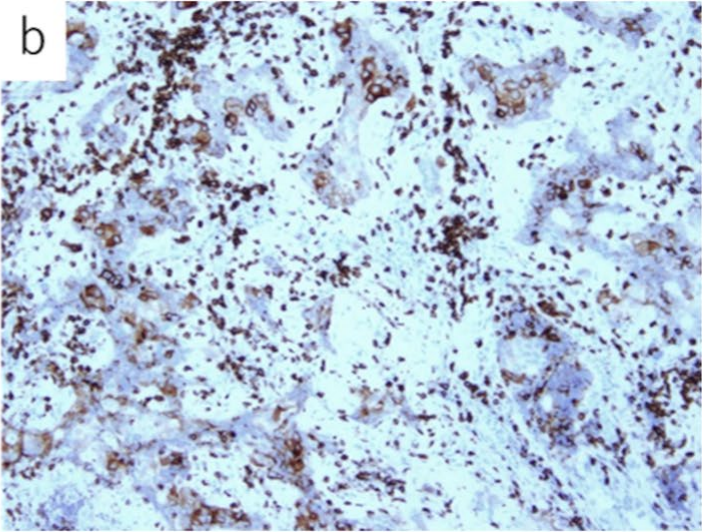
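This tumor shows nests of large tumor cells with brown staining along their membranes and cytoplasm, set in a loose, pale stroma. The stained tumor cells are large and polygonal, grouped in irregular clusters, and the intensity of brown varies from cell to cell, with some cells only faintly coloured and showing blue nuclei. Between and around the nests lie many small, round, strongly brown-stained cells, scattered singly and gathered in dense groups within the stroma. The background stroma is loose and mostly unstained.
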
